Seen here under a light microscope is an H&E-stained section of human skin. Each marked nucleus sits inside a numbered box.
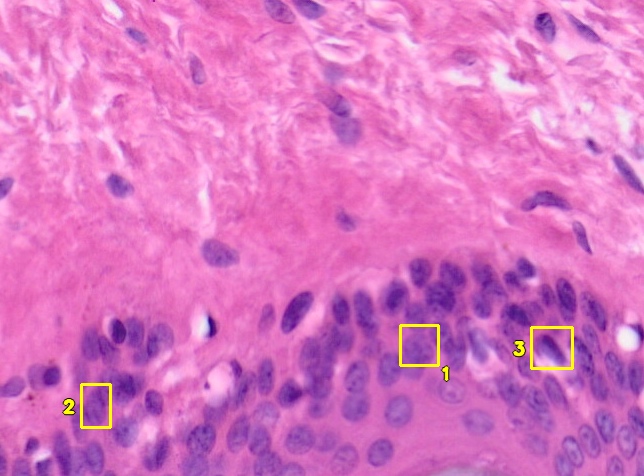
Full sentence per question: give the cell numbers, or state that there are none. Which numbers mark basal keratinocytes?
The cells that bear the numbers 2 and 3 are basal keratinocytes.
